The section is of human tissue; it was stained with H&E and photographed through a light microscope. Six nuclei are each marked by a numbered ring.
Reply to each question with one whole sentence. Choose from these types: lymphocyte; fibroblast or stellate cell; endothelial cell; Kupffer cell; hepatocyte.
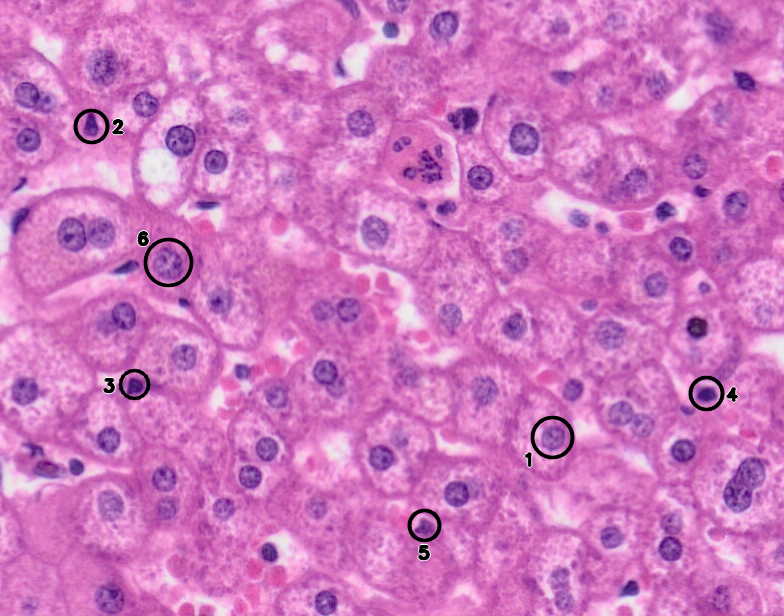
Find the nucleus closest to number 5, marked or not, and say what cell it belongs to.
The cell nearest to number 5 is a hepatocyte.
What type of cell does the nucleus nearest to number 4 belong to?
The nucleus nearest to number 4 is that of a fibroblast or stellate cell.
